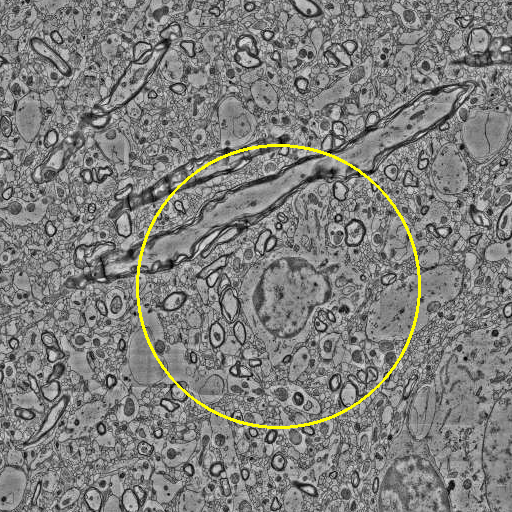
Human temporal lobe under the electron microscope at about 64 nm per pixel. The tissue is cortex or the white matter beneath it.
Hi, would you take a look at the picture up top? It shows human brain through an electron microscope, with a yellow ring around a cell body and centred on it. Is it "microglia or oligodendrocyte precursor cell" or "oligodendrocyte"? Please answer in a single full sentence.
The best fit for the cell in the middle of the ring is a microglial cell or oligodendrocyte precursor cell, I reckon.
